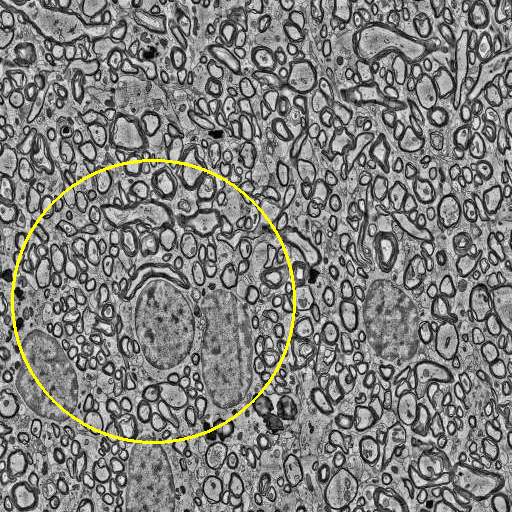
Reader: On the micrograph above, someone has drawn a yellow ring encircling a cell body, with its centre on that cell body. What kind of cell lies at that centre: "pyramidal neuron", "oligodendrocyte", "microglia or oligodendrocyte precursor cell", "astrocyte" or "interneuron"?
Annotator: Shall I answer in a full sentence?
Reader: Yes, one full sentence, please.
Here a microglial cell or oligodendrocyte precursor cell sits at the centre of the yellow ring drawn on the micrograph.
